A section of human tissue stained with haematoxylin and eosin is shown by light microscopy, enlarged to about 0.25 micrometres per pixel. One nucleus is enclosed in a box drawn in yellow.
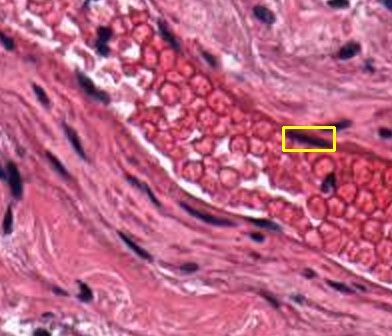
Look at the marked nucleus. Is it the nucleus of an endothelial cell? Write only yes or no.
yes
